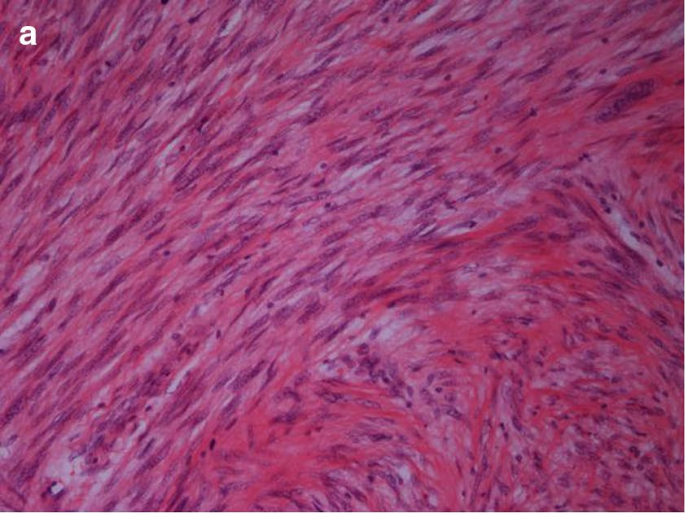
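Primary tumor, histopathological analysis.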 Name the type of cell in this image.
Spindle cells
